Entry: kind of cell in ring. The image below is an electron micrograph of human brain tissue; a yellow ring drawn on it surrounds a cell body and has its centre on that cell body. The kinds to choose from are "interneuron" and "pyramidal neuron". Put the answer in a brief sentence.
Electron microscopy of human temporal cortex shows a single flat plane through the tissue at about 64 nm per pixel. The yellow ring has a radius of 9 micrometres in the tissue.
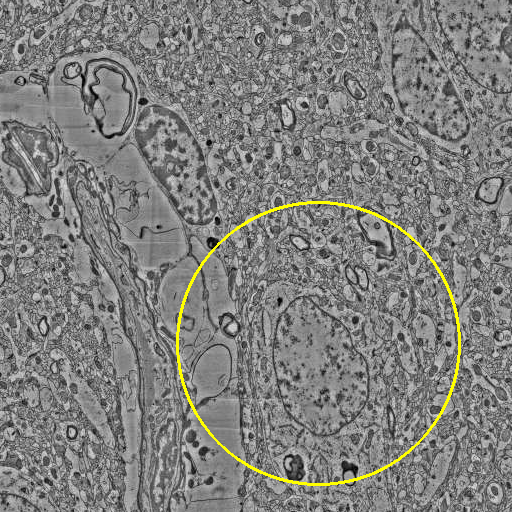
The ring has been drawn around a pyramidal neuron.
